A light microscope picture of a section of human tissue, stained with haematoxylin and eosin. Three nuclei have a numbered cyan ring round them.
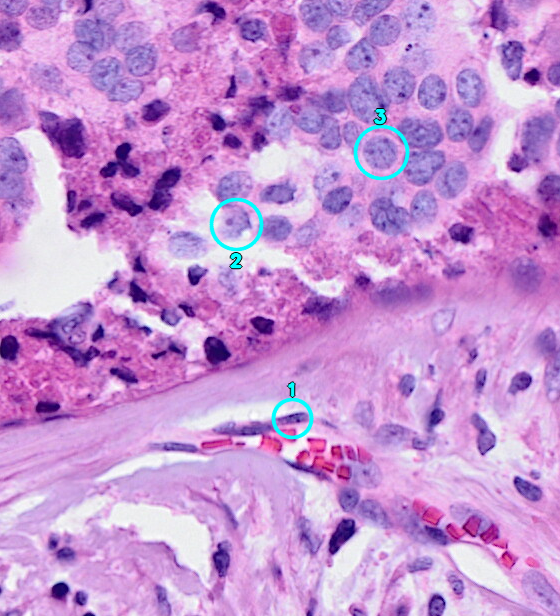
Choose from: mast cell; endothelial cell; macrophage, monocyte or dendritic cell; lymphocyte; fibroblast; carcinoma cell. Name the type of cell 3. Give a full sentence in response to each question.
The cell numbered 3 has been identified as a carcinoma cell.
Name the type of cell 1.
The cell referred to as 1 is an endothelial cell.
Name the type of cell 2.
Among the marked nuclei, number 2 belongs to a carcinoma cell.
